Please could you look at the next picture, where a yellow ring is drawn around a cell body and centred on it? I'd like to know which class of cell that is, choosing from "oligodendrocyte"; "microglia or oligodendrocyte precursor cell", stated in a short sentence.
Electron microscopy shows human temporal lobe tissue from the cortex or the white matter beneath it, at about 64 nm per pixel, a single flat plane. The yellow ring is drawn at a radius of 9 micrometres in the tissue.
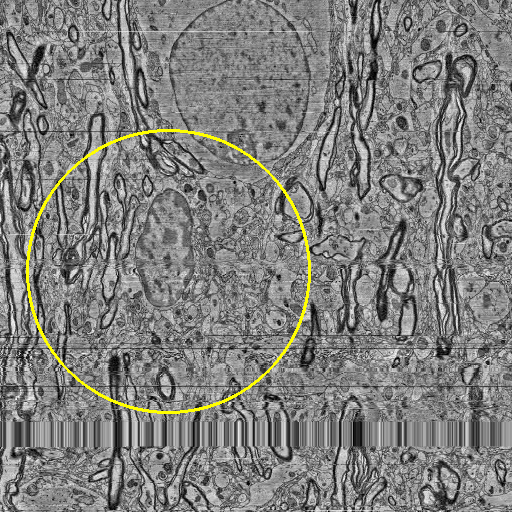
The ring's centre lies on a microglial cell or oligodendrocyte precursor cell.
